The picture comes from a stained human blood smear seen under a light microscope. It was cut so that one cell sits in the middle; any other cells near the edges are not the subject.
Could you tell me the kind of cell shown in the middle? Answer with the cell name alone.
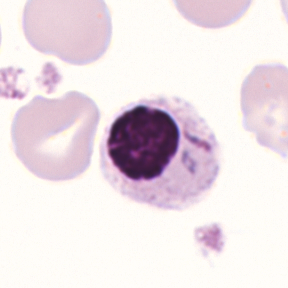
normoblast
